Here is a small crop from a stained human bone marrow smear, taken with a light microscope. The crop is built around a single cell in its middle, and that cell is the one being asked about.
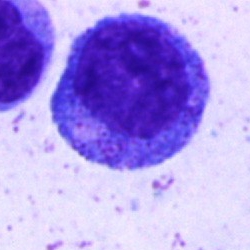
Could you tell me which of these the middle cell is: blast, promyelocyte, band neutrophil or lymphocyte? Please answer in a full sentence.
Of the cells in this crop, the central one is a promyelocyte.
